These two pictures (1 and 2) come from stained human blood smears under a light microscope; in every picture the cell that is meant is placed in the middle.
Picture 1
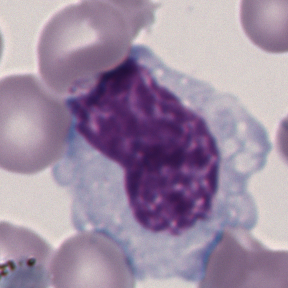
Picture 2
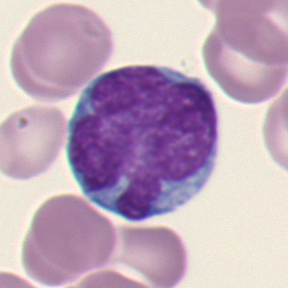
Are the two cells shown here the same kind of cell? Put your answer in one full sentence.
No, the types are not the same, since picture 1 shows a monocyte and picture 2 a myeloblast.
